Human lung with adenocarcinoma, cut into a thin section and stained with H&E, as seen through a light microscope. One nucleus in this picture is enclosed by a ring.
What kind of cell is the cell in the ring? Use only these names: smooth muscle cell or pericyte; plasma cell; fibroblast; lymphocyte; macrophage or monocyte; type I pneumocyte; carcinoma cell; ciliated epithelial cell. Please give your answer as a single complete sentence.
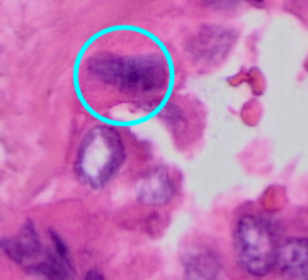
Considered by cell type, the cell in the ring is a carcinoma cell.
